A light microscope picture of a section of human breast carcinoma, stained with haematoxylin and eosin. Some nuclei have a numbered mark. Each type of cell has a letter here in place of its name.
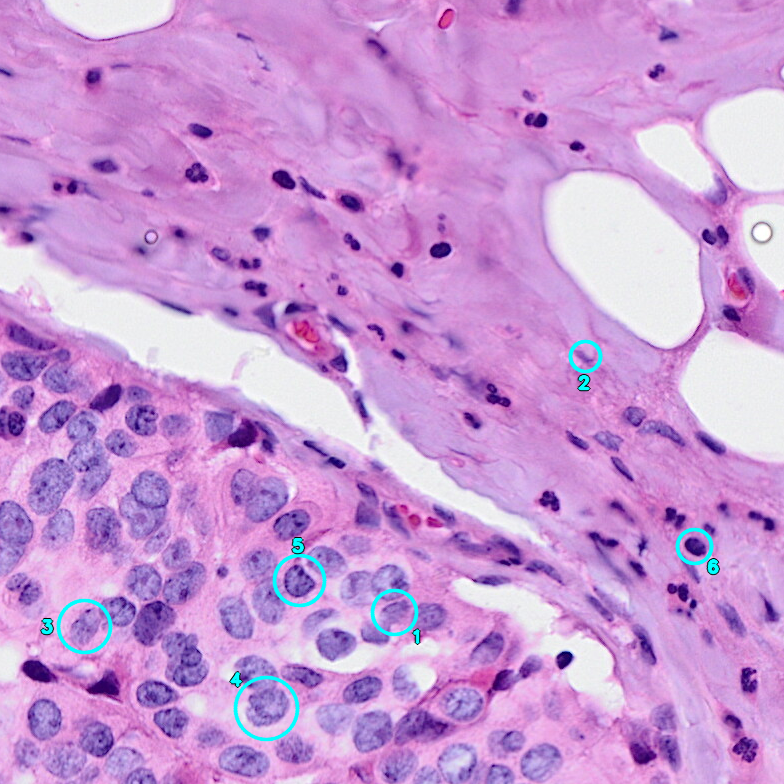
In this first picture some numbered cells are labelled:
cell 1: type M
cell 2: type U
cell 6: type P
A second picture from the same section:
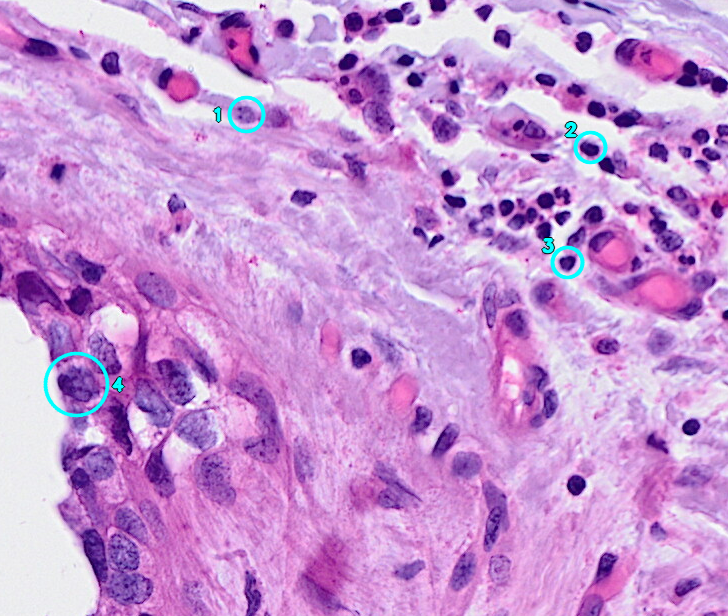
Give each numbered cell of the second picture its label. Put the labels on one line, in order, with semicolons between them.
type U; type P; type P; type M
